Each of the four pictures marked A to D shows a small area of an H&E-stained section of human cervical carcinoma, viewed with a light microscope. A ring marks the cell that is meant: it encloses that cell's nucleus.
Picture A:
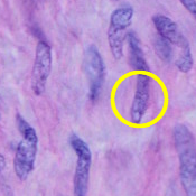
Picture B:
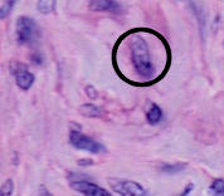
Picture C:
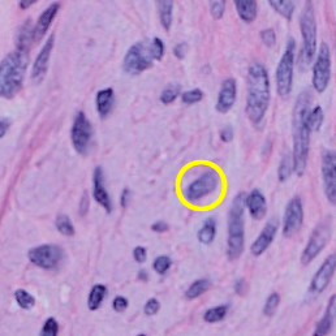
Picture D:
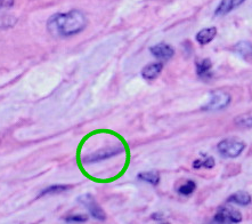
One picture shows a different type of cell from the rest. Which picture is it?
D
